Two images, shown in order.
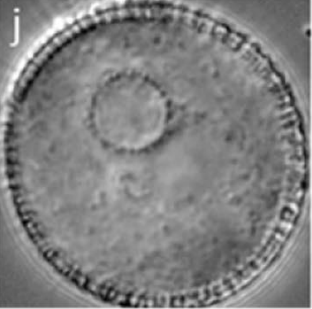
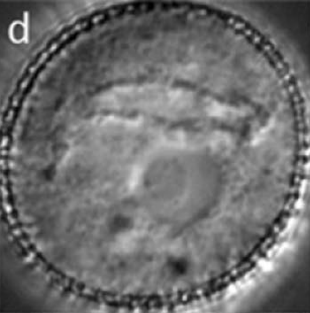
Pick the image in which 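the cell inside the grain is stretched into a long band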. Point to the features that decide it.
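The second image. First image: the inner cell is a small round body with a dotted boundary. Second image: a long, band-like structure stretches across the upper part of the grain.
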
